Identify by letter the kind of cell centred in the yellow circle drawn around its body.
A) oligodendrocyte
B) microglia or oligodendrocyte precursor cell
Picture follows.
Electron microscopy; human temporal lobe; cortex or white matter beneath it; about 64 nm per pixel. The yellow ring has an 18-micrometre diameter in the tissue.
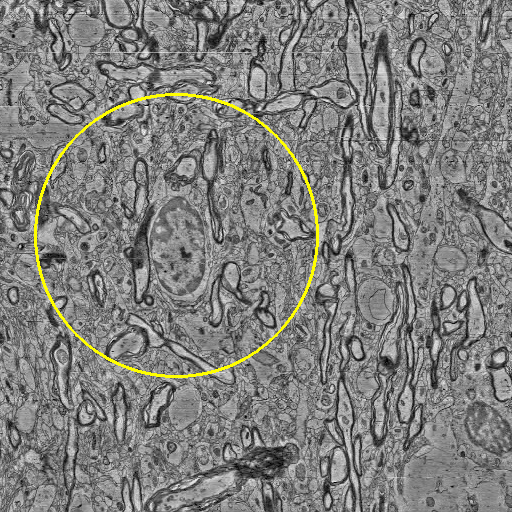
B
